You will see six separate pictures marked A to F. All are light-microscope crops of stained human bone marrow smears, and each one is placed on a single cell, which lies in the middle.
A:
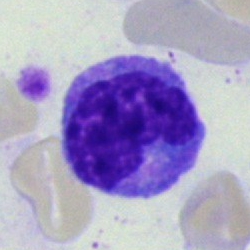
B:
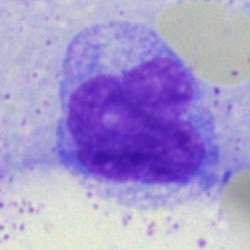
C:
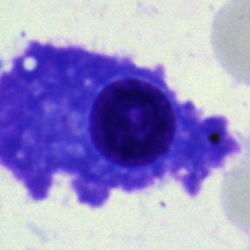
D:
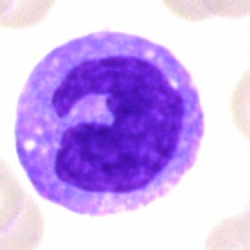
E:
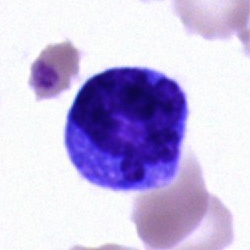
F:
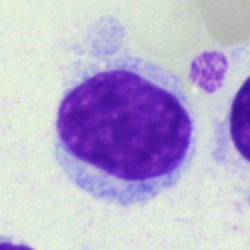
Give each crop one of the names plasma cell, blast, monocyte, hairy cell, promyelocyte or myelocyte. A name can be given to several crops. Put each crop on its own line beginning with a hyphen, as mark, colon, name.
- A: monocyte
- B: monocyte
- C: plasma cell
- D: monocyte
- E: monocyte
- F: hairy cell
